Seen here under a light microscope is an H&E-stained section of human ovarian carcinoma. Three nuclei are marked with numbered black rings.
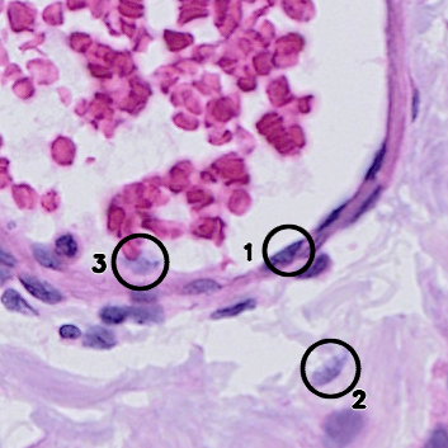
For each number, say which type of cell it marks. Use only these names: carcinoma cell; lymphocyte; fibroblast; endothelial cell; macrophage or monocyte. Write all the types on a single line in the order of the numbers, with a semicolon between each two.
endothelial cell; fibroblast; endothelial cell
